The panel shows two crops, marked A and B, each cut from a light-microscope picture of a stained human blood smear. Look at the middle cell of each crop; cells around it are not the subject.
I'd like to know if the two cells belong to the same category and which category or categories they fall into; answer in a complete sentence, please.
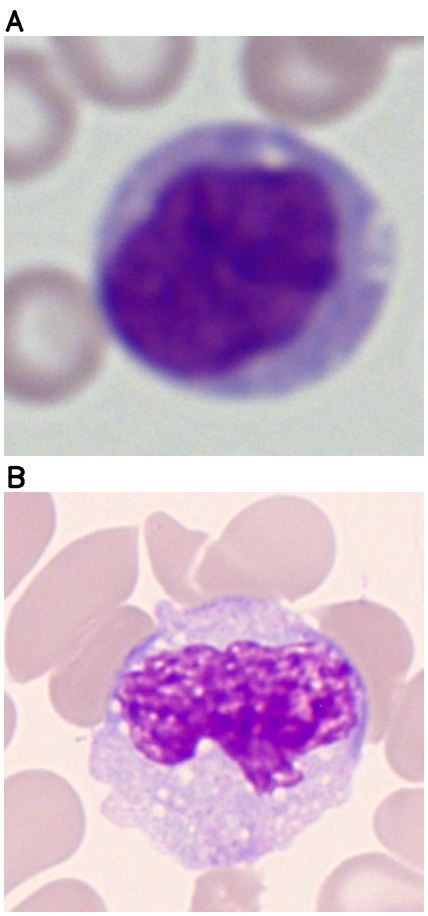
Yes, both crops have monocytes at the centre.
